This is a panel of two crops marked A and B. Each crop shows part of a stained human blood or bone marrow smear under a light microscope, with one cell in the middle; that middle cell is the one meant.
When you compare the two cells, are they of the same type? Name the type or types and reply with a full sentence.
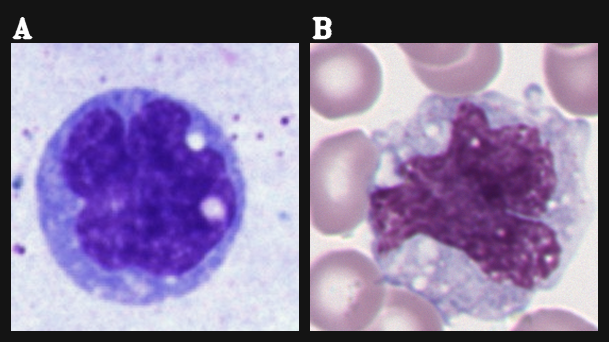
Yes, both crops show monocytes in the centre of the field.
